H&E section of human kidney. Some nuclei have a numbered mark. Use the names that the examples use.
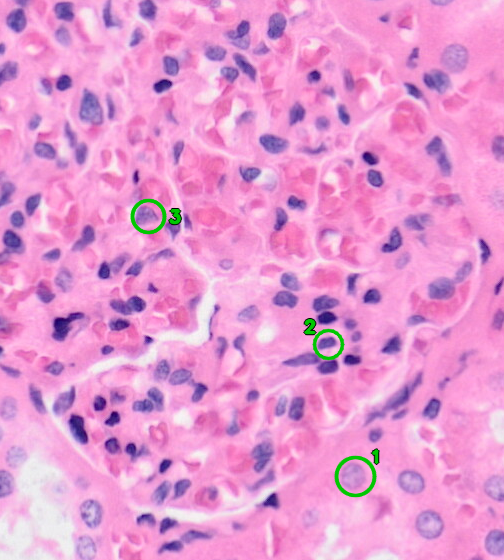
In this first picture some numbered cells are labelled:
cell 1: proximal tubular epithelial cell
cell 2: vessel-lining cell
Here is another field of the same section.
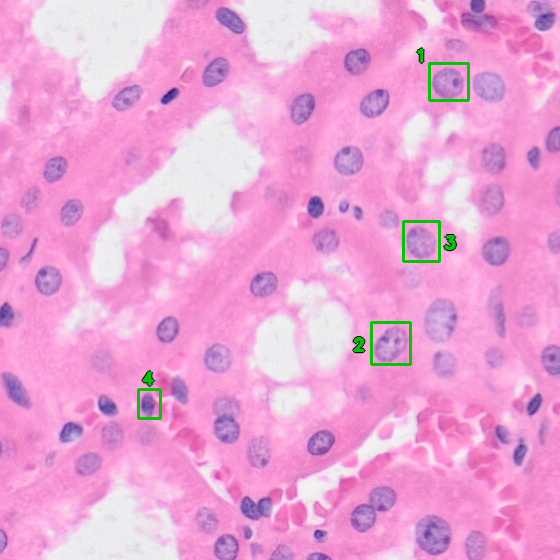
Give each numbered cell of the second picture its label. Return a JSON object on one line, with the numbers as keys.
{"1": "proximal tubular epithelial cell", "2": "proximal tubular epithelial cell", "3": "proximal tubular epithelial cell", "4": "vessel-lining cell"}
